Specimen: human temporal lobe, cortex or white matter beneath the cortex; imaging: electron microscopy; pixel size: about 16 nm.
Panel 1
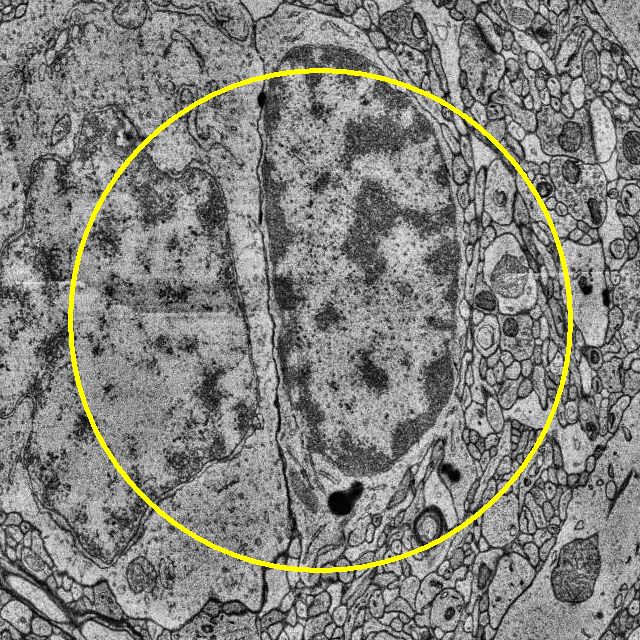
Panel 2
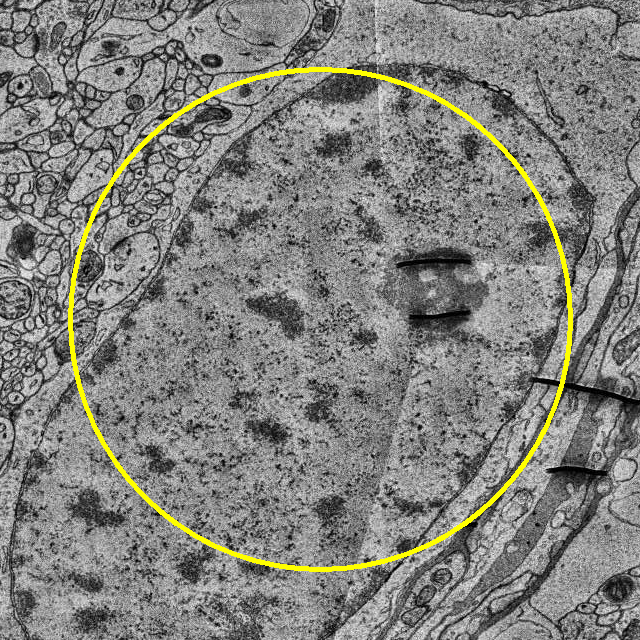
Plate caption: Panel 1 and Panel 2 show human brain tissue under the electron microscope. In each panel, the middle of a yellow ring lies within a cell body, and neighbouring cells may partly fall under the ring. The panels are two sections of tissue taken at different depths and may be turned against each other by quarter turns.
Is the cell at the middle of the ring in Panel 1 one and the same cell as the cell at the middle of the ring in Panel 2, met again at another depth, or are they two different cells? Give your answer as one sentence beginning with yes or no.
No, two different cells are marked by the two rings.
